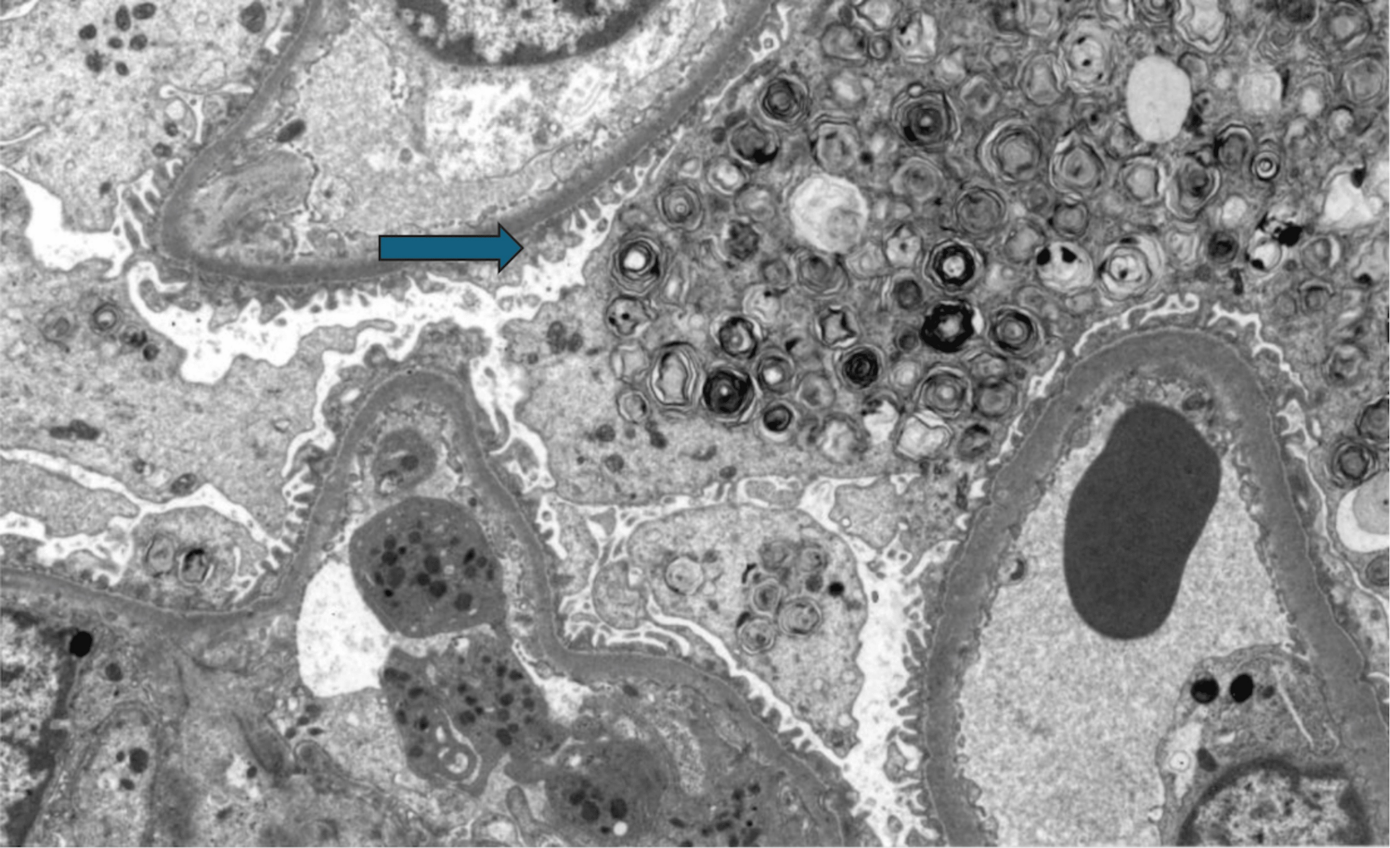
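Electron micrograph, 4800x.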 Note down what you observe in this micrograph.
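This is glomerular tissue seen by electron microscopy, with capillary loops outlined by thick grey basement membranes and a red blood cell lying in one lumen at the lower right. Covering the outer side of the loops are podocytes, whose small foot processes rest in a row on the basement membrane. The cytoplasm of these epithelial cells, most strikingly the large cell at the upper right, is crowded with round inclusions built of concentric membrane rings like onion skins, many with dark dense cores: myeloid or lamellar bodies.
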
